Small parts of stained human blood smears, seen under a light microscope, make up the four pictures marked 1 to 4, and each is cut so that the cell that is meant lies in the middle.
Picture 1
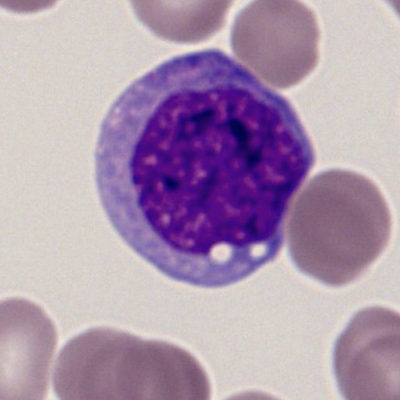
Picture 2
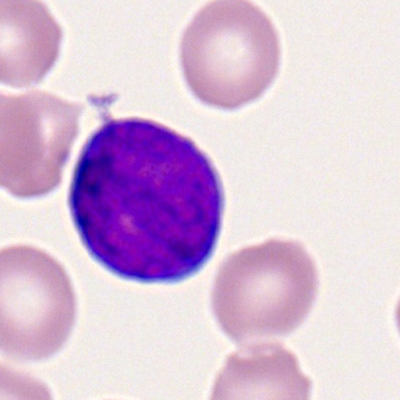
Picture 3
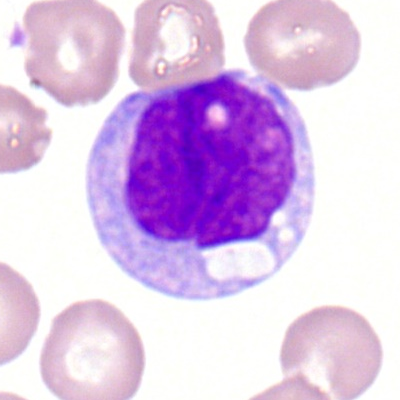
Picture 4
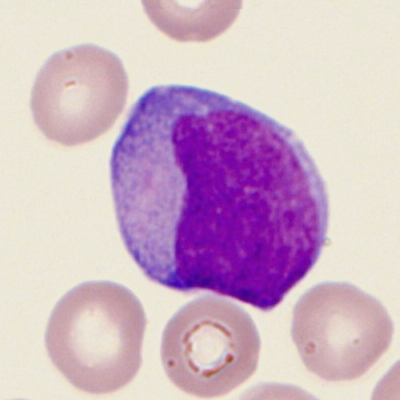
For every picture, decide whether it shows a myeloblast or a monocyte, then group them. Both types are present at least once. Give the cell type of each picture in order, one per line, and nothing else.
monocyte
myeloblast
monocyte
myeloblast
